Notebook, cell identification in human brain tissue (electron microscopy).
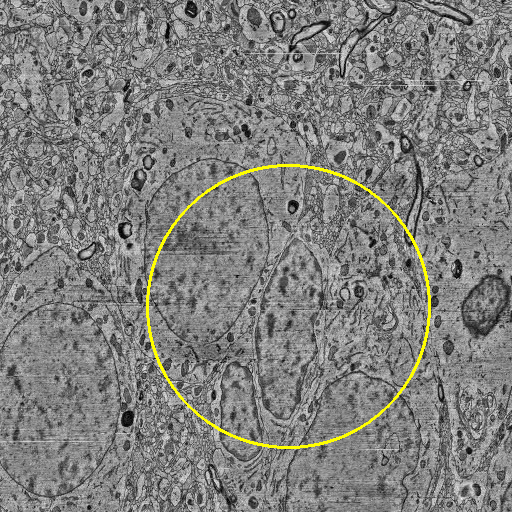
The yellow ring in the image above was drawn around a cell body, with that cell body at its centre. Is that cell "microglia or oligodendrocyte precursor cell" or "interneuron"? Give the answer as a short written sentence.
The cell in the ring is a microglial cell or oligodendrocyte precursor cell.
